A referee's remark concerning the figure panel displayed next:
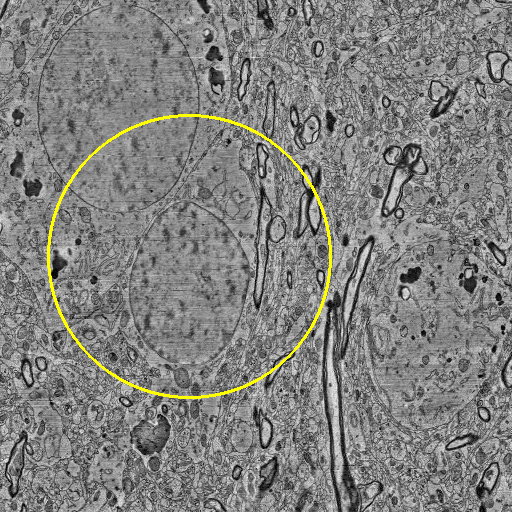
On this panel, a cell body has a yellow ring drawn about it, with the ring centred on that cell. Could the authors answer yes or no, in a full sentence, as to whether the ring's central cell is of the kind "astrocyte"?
Yes, the cell sitting at the middle of the ring on this panel belongs to that kind.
